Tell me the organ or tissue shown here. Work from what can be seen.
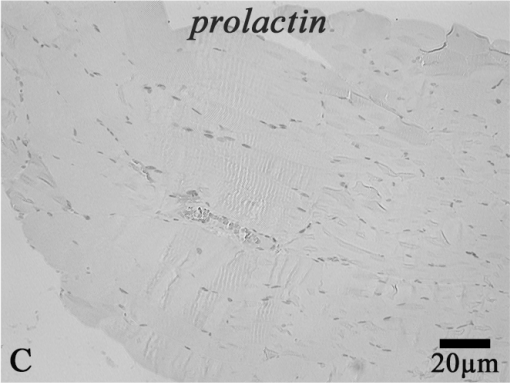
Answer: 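Long parallel fibres run across the field in one direction. Faint cross-striations run across the fibres. Small elongated nuclei lie along the fibres, aligned with their long axis. On this evidence: Skeletal muscle.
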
